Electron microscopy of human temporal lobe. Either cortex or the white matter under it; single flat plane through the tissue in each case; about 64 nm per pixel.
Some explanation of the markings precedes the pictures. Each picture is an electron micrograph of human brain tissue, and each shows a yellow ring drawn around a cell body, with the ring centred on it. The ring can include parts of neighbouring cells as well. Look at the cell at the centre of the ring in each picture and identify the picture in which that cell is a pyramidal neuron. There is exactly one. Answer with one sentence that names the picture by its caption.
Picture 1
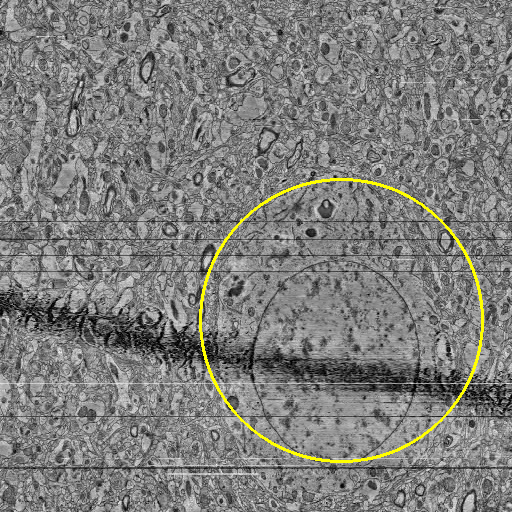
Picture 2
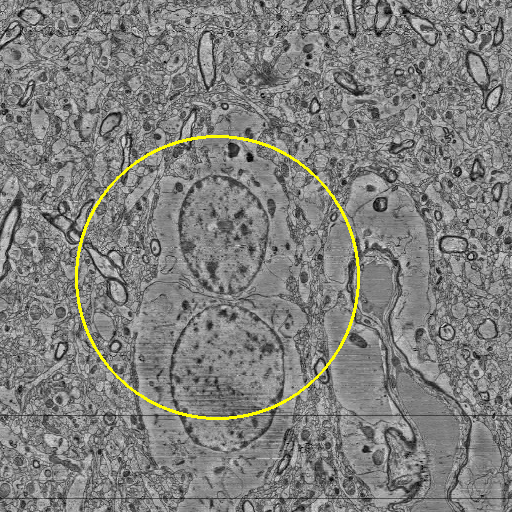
In Picture 1, the cell at the centre of the ring is of that kind.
